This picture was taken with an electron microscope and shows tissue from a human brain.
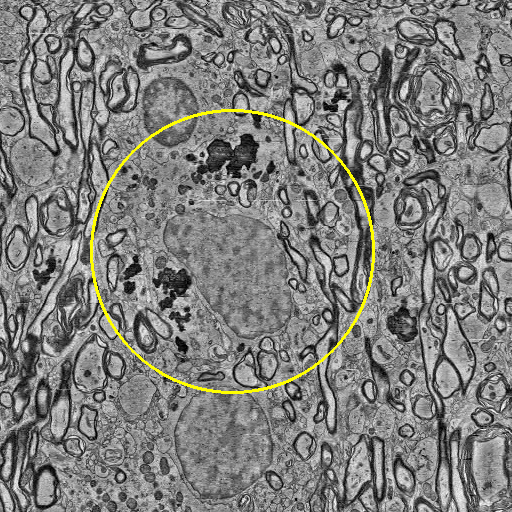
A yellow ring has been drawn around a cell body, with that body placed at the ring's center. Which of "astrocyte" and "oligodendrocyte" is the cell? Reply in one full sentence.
In this picture, an oligodendrocyte is the cell at the center of the yellow ring.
